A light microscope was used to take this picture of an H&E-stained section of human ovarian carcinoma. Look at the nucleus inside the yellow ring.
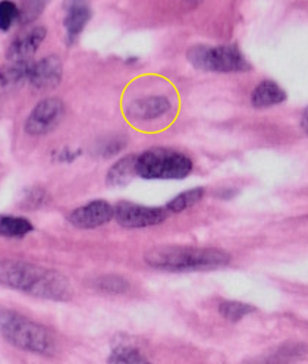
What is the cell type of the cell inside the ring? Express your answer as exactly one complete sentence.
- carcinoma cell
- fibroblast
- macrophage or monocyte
The identity of the cell inside the ring: it is a fibroblast.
